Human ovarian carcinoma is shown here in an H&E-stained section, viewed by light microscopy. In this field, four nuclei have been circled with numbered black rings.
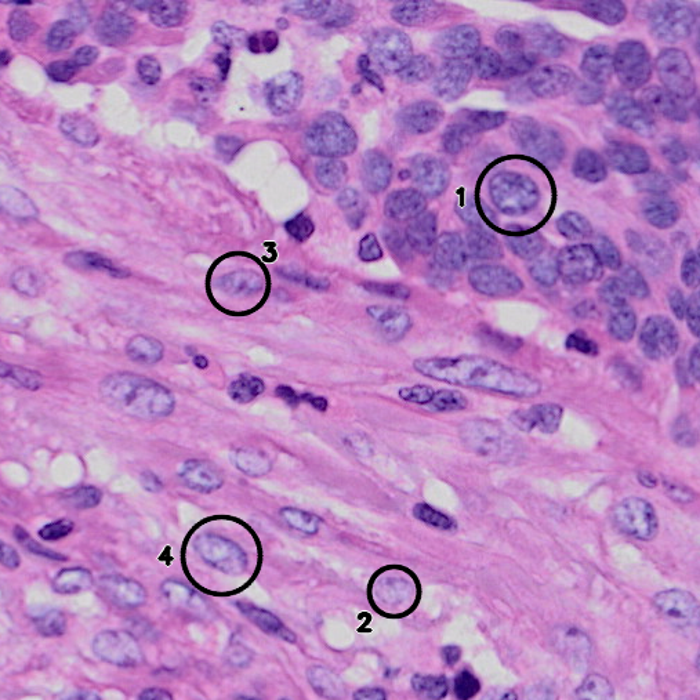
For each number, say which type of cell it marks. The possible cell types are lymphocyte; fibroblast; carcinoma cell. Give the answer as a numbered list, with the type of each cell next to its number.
1. carcinoma cell
2. fibroblast
3. fibroblast
4. fibroblast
